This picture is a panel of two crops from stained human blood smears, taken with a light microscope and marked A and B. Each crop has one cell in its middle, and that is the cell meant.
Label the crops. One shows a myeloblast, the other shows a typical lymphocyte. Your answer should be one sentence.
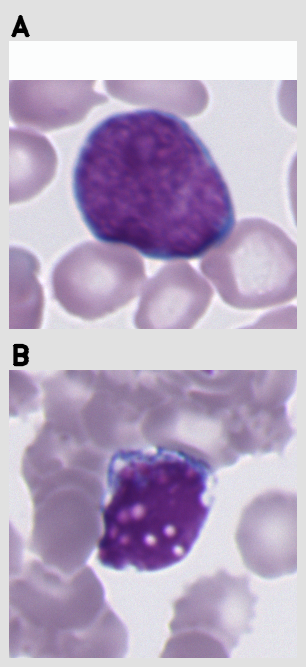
Shown in crop A is a myeloblast, and shown in crop B is a typical lymphocyte.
